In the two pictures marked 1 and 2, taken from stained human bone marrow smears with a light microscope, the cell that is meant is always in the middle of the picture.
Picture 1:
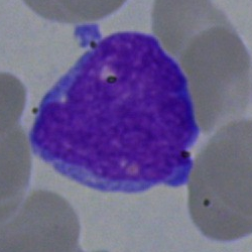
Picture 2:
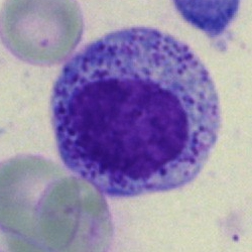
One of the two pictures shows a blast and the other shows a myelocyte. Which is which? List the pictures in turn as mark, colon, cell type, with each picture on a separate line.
1: blast
2: myelocyte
